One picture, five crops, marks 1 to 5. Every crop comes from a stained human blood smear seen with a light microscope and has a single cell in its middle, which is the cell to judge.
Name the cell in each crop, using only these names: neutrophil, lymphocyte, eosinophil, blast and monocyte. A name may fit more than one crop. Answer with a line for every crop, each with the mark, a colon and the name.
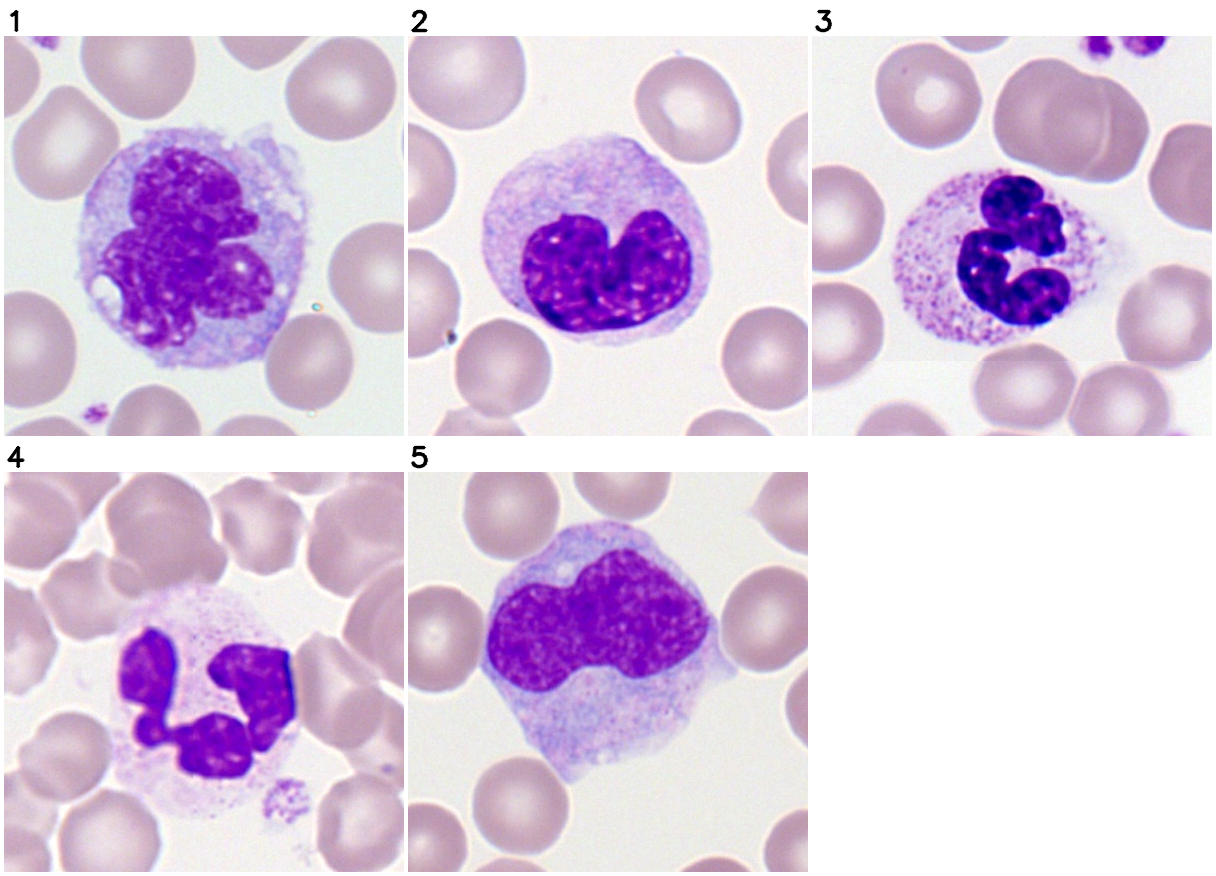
1: monocyte
2: monocyte
3: neutrophil
4: neutrophil
5: monocyte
